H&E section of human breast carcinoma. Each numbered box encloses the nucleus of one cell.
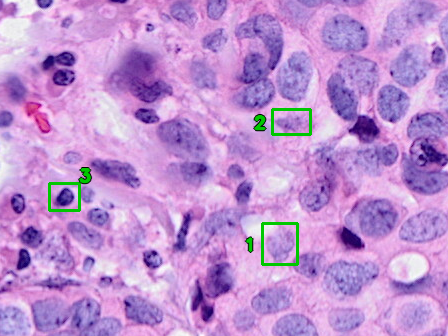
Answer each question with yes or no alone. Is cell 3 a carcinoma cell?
no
